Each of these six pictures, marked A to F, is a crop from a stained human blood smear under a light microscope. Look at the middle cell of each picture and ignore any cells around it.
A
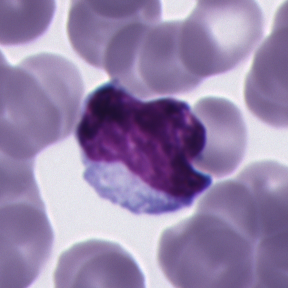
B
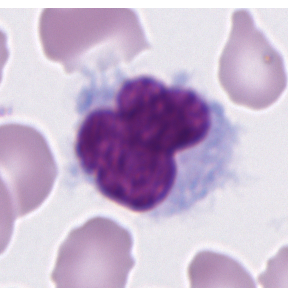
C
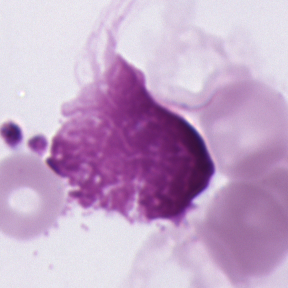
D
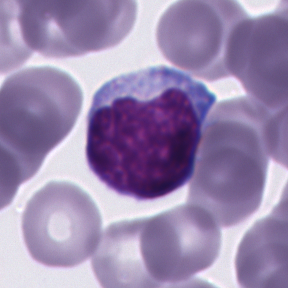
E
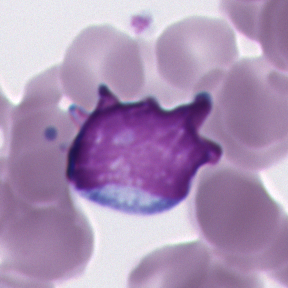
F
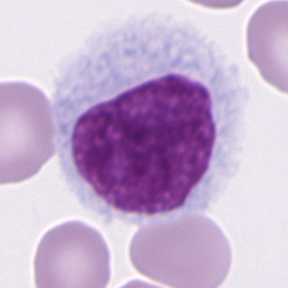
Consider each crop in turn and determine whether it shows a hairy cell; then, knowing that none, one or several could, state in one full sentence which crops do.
With regard to crops B and F, the central cells are hairy cells.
